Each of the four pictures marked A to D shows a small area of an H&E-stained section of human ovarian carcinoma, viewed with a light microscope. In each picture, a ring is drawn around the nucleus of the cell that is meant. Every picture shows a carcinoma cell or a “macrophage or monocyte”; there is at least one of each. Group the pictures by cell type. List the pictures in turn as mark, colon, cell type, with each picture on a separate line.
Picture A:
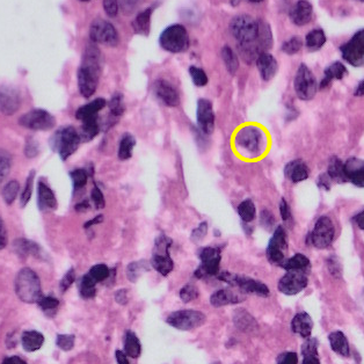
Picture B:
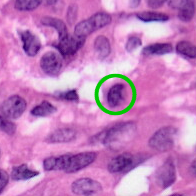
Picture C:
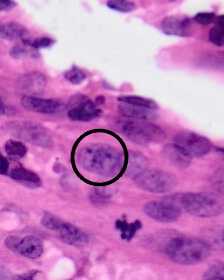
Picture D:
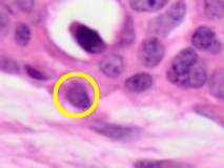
A: macrophage or monocyte
B: macrophage or monocyte
C: carcinoma cell
D: macrophage or monocyte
